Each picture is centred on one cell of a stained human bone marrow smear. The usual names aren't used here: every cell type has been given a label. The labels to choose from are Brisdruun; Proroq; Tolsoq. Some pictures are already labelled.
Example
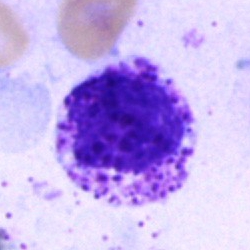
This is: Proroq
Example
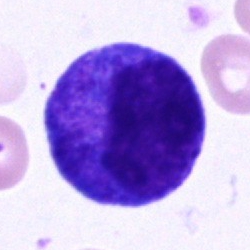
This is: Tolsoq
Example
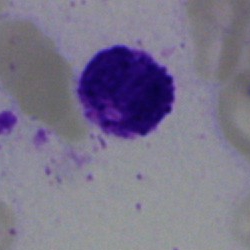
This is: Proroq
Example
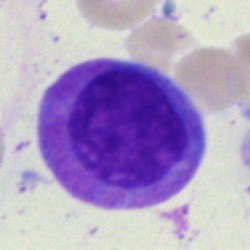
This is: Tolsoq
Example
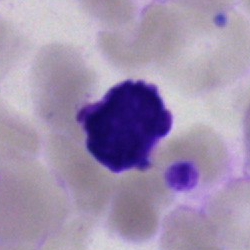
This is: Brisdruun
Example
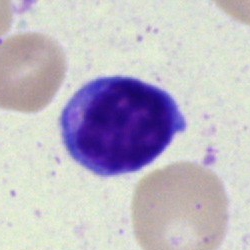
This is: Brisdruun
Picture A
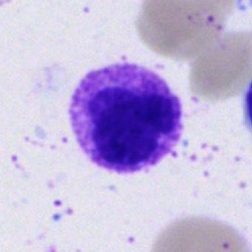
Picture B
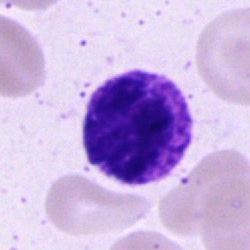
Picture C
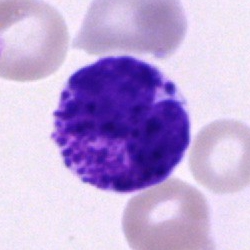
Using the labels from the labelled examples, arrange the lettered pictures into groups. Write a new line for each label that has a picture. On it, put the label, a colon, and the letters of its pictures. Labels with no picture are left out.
Proroq: A, B, C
